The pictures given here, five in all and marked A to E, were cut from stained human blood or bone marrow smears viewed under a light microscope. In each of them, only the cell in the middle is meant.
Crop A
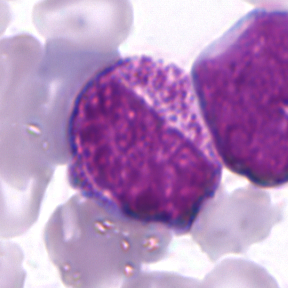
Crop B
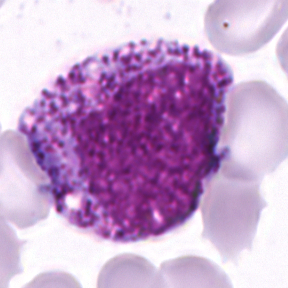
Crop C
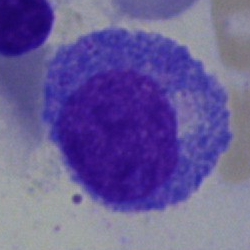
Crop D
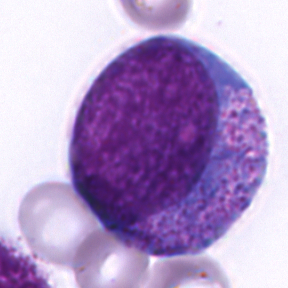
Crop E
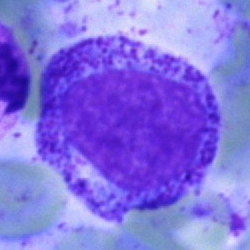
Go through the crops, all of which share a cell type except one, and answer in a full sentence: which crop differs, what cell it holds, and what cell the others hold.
Differing from the rest, crop A shows a myelocyte; the others all show promyelocytes.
